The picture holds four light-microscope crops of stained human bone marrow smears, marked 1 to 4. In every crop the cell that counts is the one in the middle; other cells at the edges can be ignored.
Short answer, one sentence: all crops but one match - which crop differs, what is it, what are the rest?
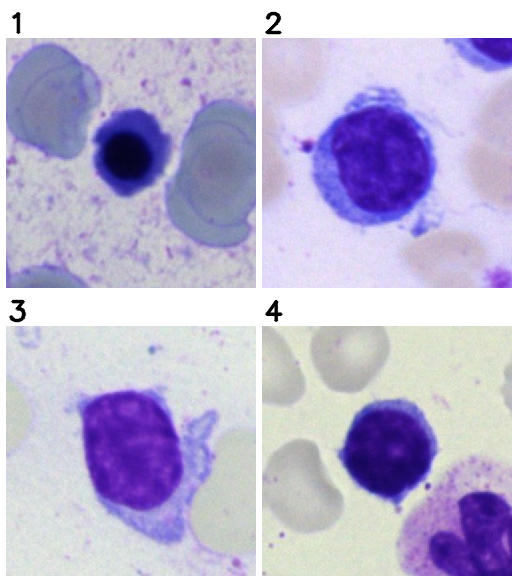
Crop 1 is a normoblast, while the rest of the set consists of lymphocytes.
